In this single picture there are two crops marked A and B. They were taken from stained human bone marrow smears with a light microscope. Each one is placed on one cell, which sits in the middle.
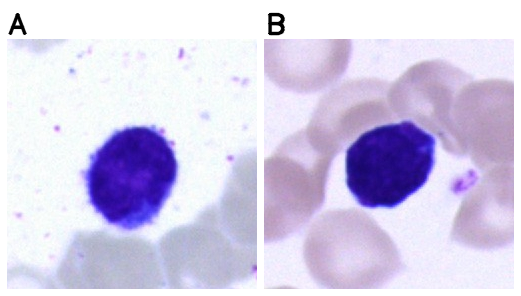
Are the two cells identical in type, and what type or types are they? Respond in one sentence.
Yes, both crops show lymphocytes as their central cells.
